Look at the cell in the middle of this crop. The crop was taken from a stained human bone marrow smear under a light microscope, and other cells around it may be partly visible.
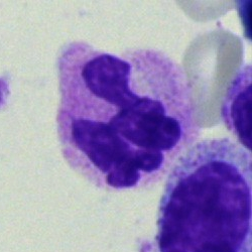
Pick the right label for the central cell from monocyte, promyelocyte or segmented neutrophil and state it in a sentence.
The middle cell in this particular crop is a segmented neutrophil.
